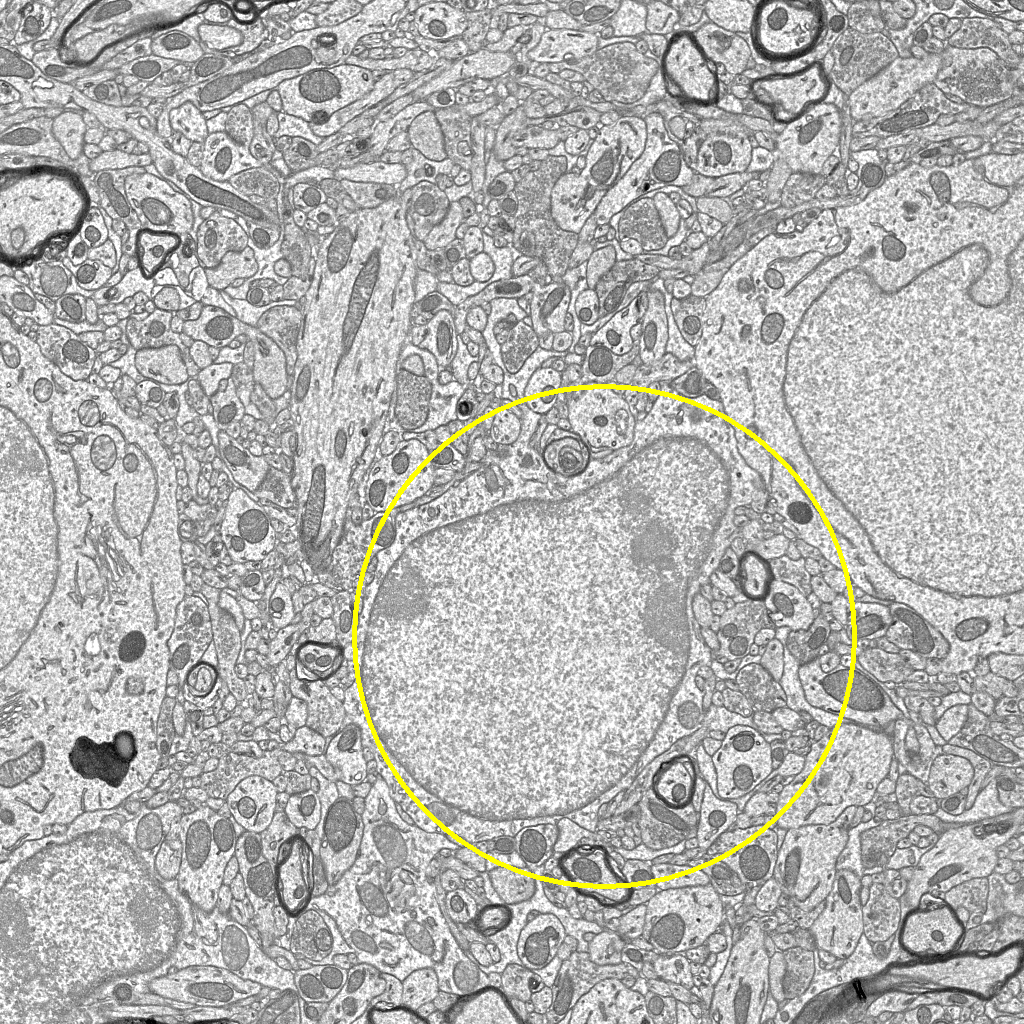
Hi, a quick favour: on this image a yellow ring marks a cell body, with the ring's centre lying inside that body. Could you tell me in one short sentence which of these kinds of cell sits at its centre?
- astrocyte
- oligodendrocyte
The ring's centre lies in an astrocyte.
